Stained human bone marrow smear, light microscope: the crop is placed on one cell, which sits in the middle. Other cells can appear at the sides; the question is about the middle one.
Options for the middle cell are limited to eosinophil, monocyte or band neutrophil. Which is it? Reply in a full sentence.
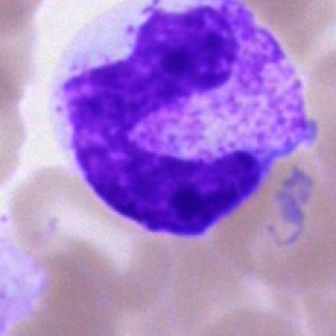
In this smear crop, the middle cell is a band neutrophil.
